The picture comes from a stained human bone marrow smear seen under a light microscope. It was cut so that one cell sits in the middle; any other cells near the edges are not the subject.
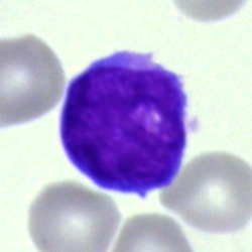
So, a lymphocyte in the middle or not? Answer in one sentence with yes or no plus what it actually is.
No, the centered cell is a blast and not a lymphocyte at all.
